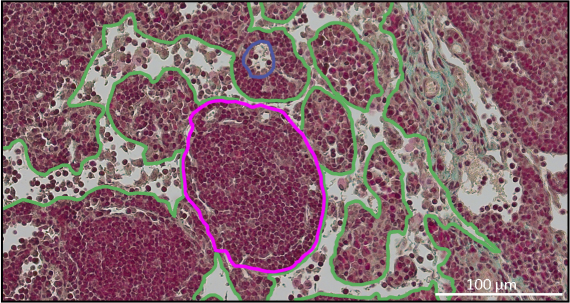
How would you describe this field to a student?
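This is lymph node medulla, where a round nodule of tightly packed small round lymphocytes with dark red-purple nuclei sits among pale gray open sinus spaces. The sinuses contain only loosely scattered cells and separate the denser cords of lymphocytes from one another.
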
